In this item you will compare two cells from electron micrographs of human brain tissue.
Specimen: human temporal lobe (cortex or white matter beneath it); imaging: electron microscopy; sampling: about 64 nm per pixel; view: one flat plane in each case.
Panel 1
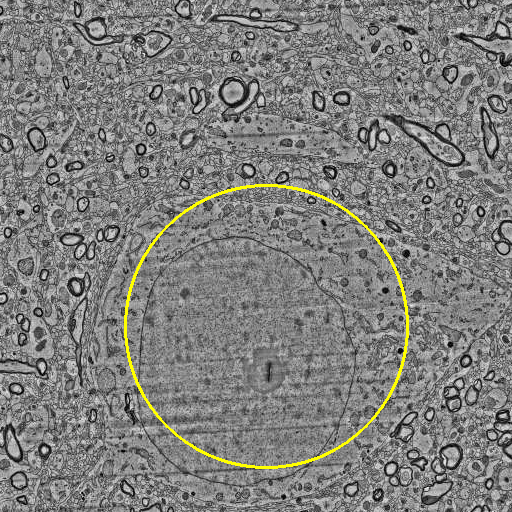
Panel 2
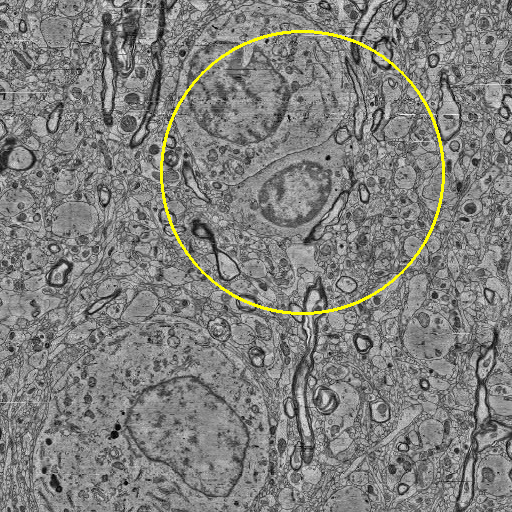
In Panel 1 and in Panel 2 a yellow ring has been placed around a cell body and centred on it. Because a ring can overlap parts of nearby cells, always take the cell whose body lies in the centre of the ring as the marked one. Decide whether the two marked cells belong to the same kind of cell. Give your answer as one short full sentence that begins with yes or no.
No, the two marked cells belong to two kinds of cell.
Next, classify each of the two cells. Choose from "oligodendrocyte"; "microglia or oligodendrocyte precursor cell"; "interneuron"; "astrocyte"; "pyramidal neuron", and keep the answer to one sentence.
In the first picture it is a pyramidal neuron; in the second it is an oligodendrocyte.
